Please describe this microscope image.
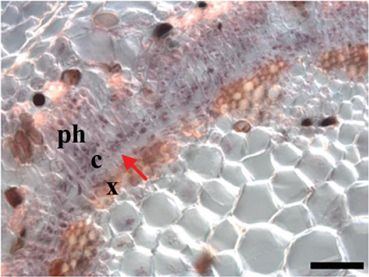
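The cambium lies as a narrow layer of flattened cells between phloem and xylem. To the right lie large, thin-walled, clear parenchyma cells.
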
